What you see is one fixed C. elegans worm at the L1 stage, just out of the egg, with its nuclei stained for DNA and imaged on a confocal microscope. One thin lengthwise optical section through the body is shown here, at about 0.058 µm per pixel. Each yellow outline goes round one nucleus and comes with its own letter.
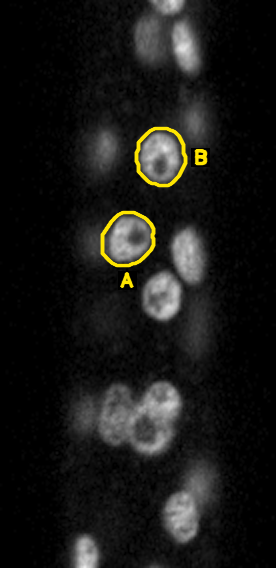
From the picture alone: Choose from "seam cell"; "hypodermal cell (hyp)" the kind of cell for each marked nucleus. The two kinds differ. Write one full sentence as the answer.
B belongs to a seam cell, and A to a hypodermal cell (hyp).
